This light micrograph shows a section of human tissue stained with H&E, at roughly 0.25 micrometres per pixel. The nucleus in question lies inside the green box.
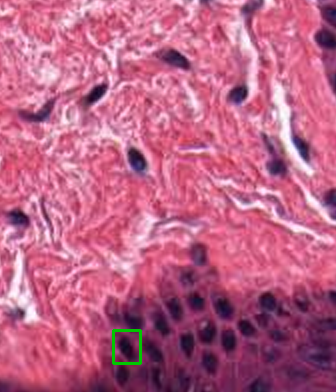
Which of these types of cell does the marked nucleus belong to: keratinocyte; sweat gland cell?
keratinocyte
